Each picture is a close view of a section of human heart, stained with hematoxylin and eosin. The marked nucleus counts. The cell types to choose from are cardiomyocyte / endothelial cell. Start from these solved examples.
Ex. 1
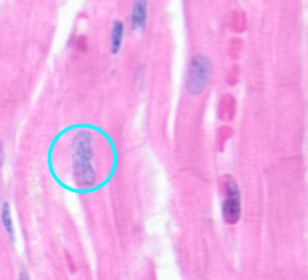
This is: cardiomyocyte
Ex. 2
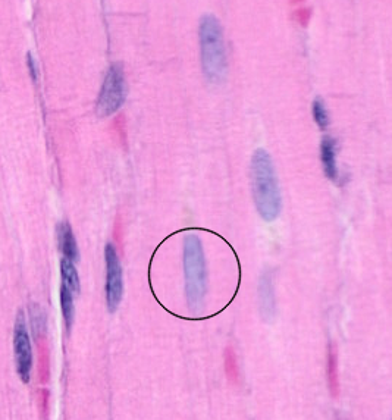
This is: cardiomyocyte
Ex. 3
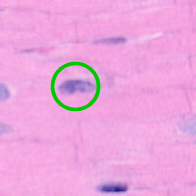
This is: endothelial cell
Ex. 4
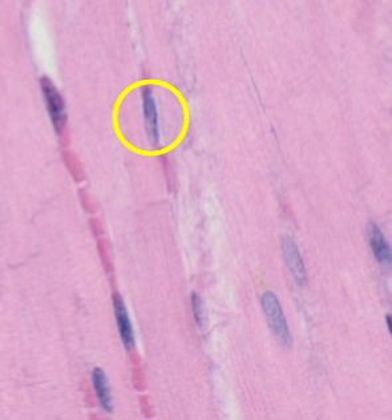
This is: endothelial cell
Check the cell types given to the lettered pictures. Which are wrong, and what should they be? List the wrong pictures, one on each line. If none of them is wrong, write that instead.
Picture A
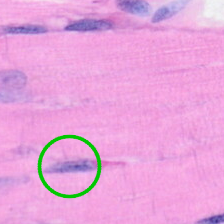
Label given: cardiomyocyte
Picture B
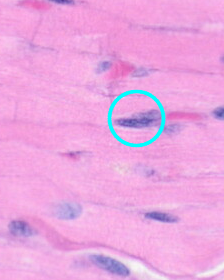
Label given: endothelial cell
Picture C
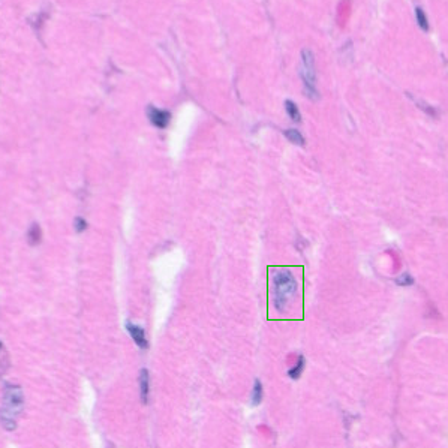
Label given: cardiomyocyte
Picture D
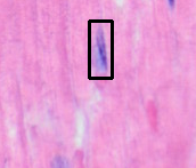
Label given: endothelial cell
A should be endothelial cell, not cardiomyocyte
